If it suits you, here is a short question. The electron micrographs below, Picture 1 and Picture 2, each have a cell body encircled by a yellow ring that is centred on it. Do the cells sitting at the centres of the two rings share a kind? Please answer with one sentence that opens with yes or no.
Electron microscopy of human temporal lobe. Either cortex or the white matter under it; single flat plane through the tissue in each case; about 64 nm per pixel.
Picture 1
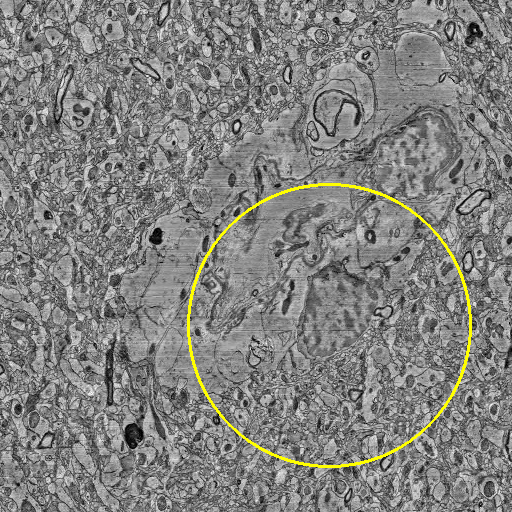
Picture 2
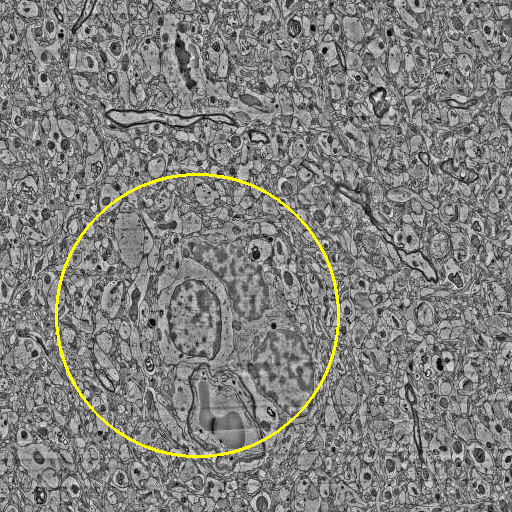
No, the two cells sitting at the ring centres fall into two kinds.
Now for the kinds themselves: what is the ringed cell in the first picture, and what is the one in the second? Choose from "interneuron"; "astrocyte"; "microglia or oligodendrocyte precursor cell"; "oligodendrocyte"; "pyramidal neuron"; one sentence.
Here the first cell is an oligodendrocyte and the second cell is a microglial cell or oligodendrocyte precursor cell.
